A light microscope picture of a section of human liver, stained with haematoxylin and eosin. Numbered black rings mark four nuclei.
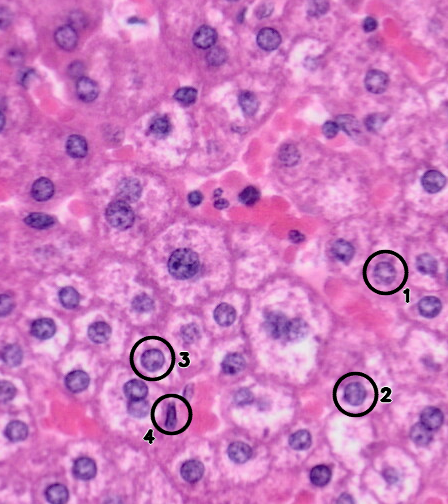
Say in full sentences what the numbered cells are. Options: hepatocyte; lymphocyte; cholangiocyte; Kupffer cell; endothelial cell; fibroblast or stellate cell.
Cell 1 is a hepatocyte, cell 2 is a hepatocyte, cell 3 is a hepatocyte and cell 4 is a fibroblast or stellate cell.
